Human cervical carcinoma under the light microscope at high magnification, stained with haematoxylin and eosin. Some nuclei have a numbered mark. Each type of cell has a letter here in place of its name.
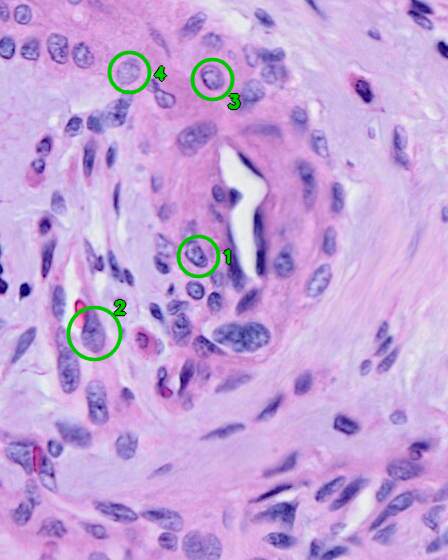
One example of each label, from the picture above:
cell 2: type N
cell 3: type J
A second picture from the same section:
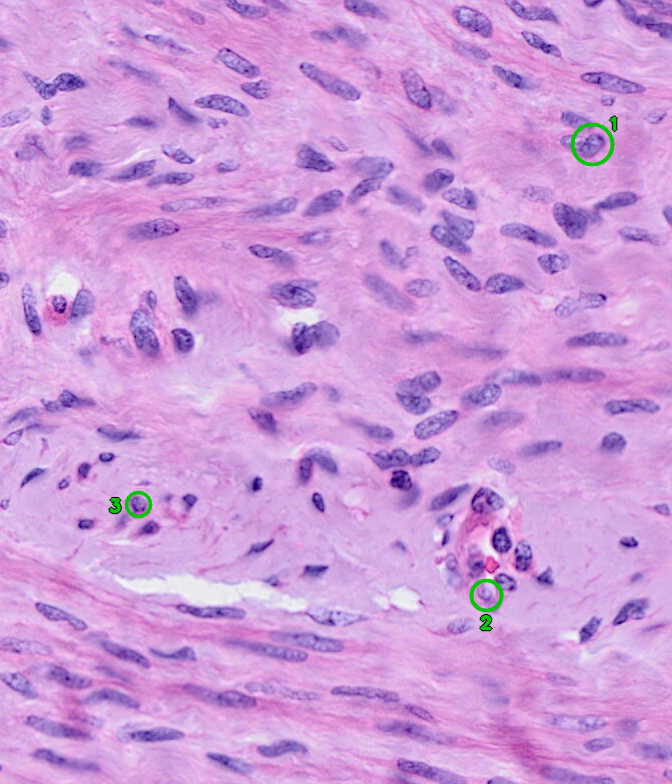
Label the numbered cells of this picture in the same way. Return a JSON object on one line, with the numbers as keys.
{"1": "type J", "2": "type N", "3": "type J"}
